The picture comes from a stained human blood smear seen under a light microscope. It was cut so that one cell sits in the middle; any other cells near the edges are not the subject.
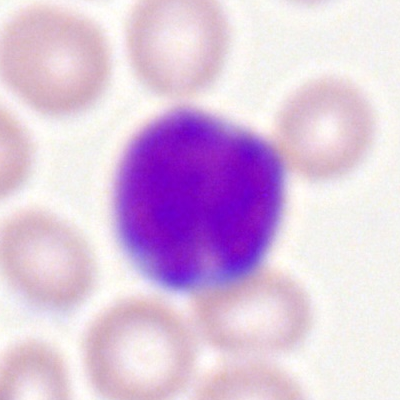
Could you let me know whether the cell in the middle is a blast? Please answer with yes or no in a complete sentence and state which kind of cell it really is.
Yes, the cell under consideration, the one in the middle, is a blast.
